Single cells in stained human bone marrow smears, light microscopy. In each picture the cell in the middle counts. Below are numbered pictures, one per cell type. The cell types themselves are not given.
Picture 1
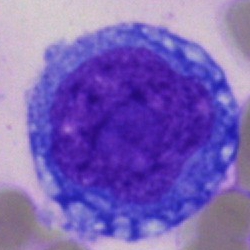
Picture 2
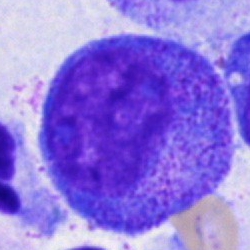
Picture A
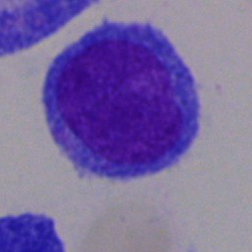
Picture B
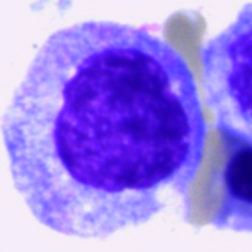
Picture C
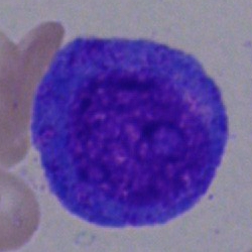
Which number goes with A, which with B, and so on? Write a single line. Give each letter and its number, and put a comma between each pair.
A 1, B 2, C 2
